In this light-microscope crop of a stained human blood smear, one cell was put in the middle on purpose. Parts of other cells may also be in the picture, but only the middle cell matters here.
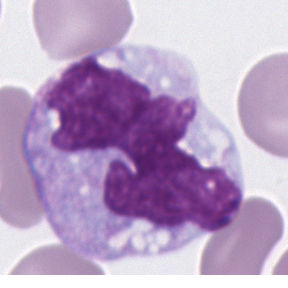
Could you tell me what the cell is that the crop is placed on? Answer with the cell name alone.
monocyte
